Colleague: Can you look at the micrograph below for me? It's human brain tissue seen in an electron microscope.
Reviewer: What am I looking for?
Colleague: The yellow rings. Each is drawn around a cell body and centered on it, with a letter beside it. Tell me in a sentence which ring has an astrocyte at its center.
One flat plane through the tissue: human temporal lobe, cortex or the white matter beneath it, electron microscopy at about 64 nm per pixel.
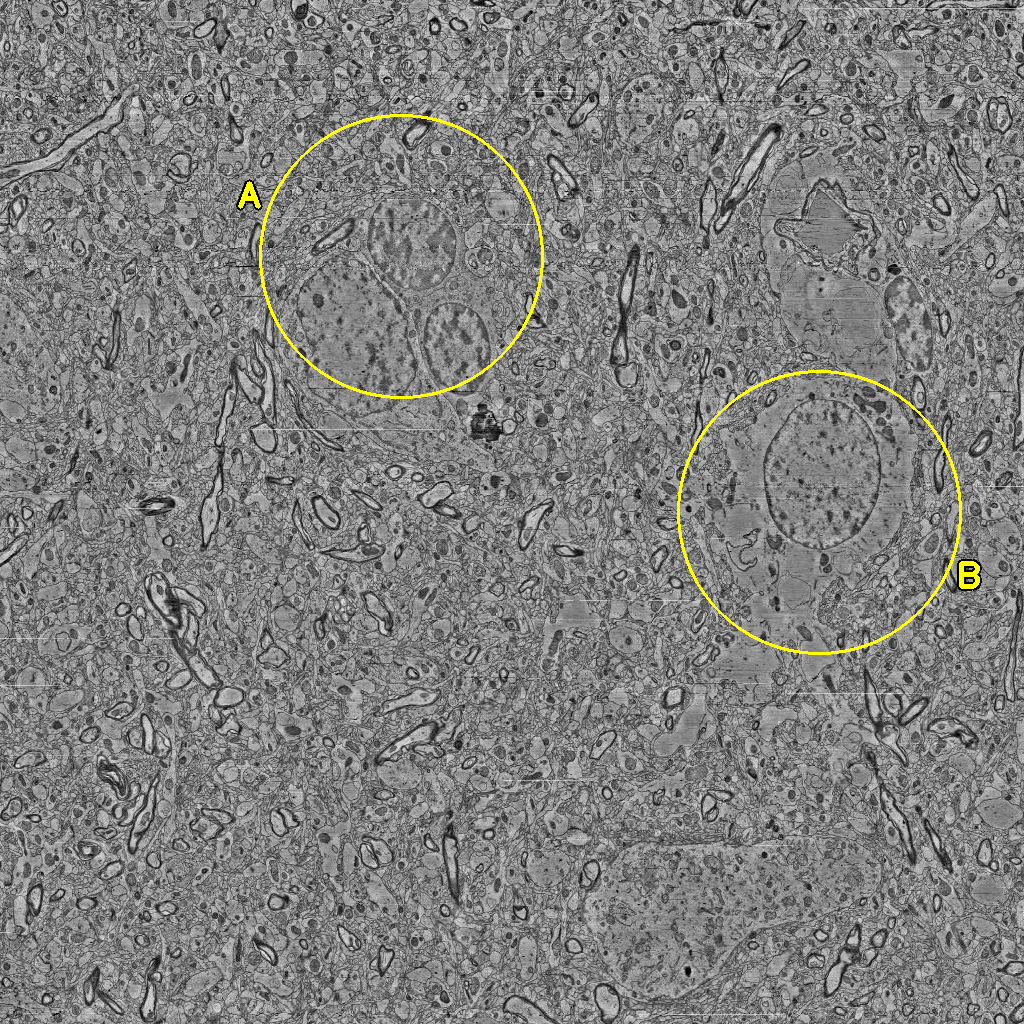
It's the cell in ring B.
